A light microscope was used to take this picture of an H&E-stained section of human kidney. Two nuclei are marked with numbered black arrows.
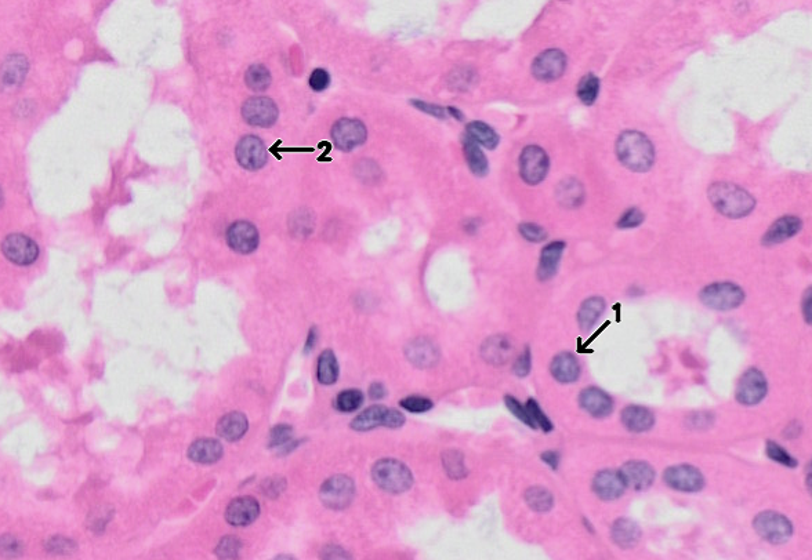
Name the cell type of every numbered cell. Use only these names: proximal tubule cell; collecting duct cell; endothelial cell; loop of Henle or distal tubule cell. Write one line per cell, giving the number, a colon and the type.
1: loop of Henle or distal tubule cell
2: proximal tubule cell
